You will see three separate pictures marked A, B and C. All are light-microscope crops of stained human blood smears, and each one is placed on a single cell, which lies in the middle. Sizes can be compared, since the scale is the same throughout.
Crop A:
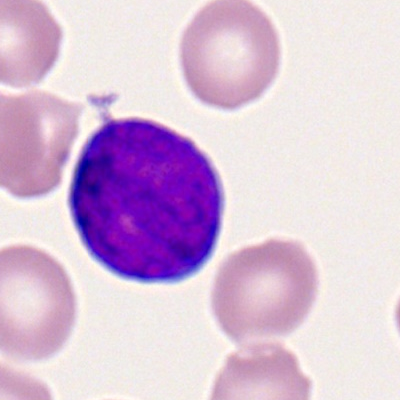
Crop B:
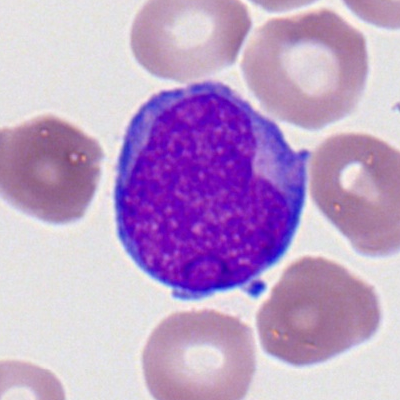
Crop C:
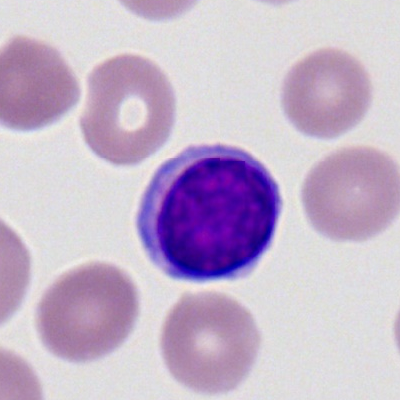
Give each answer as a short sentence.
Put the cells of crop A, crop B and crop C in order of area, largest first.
The order is B, A, C, beginning with the largest.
